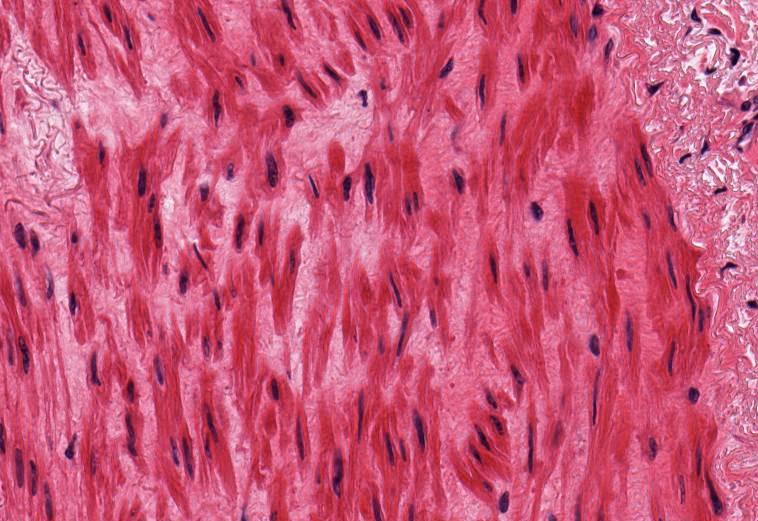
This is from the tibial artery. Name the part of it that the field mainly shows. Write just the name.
tunica media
